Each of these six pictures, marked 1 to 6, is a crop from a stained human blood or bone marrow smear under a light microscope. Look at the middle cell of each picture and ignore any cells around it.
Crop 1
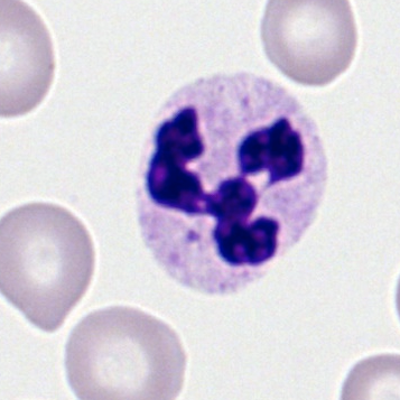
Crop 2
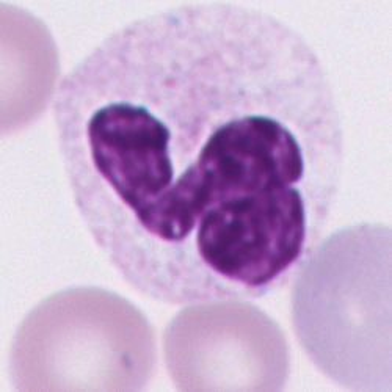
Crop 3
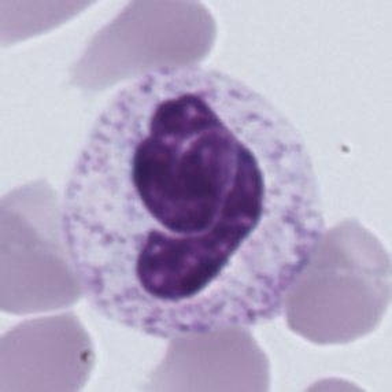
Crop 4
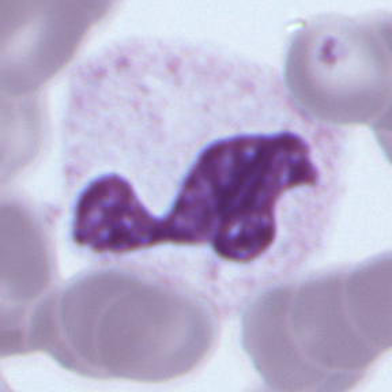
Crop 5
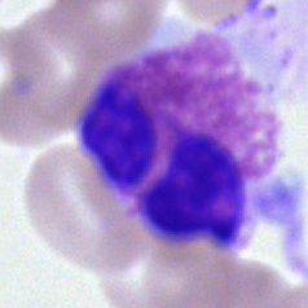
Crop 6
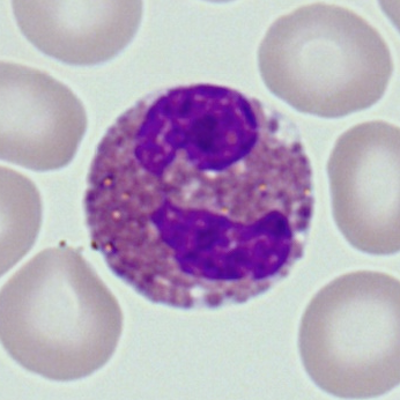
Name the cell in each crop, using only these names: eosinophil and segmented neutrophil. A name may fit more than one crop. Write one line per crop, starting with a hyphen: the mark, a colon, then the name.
- 1: segmented neutrophil
- 2: segmented neutrophil
- 3: segmented neutrophil
- 4: segmented neutrophil
- 5: eosinophil
- 6: eosinophil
